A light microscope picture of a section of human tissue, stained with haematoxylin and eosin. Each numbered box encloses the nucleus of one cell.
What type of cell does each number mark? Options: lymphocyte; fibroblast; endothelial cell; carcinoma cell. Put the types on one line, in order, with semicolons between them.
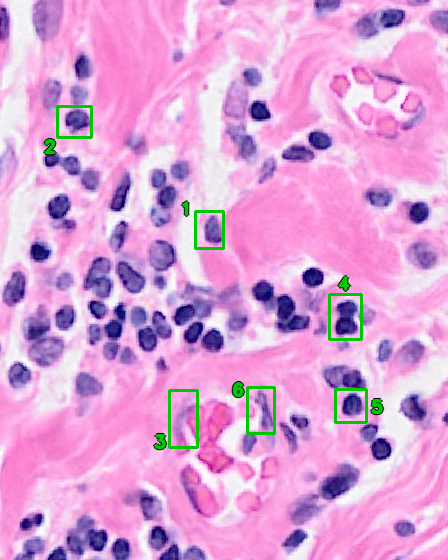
lymphocyte; lymphocyte; endothelial cell; lymphocyte; lymphocyte; endothelial cell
